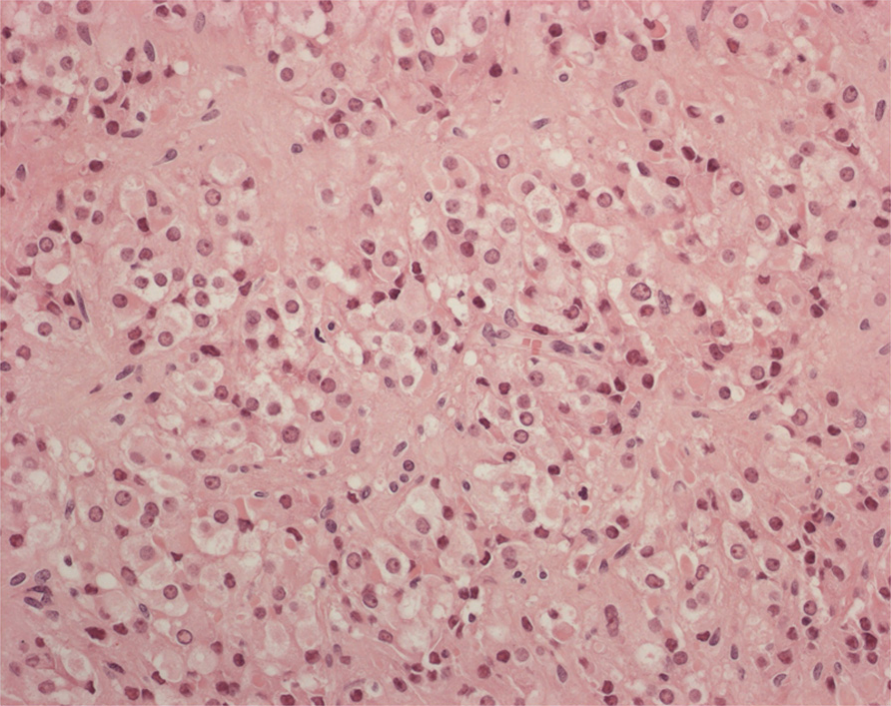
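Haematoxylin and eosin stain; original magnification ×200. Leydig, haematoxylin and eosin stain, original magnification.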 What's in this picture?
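The cells have abundant pink, granular cytoplasm, which in many cells looks pale or vacuolated. Smaller dark spindle-shaped nuclei of stromal cells lie scattered between the tumour cells.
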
